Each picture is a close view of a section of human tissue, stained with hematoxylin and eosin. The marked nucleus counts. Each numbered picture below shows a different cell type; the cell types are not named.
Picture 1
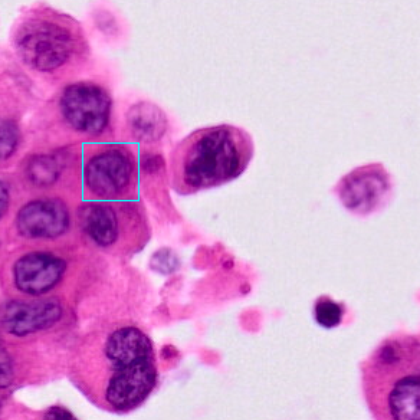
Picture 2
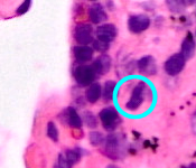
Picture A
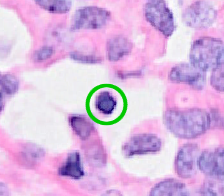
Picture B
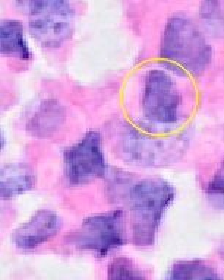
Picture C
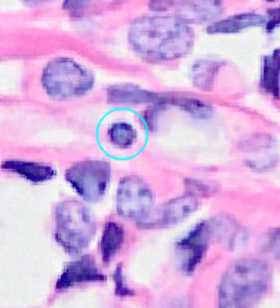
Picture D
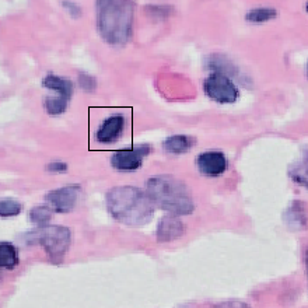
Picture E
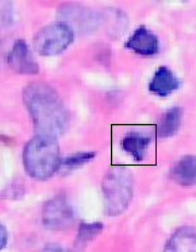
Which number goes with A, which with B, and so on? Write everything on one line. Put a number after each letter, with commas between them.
A 2, B 1, C 2, D 2, E 2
